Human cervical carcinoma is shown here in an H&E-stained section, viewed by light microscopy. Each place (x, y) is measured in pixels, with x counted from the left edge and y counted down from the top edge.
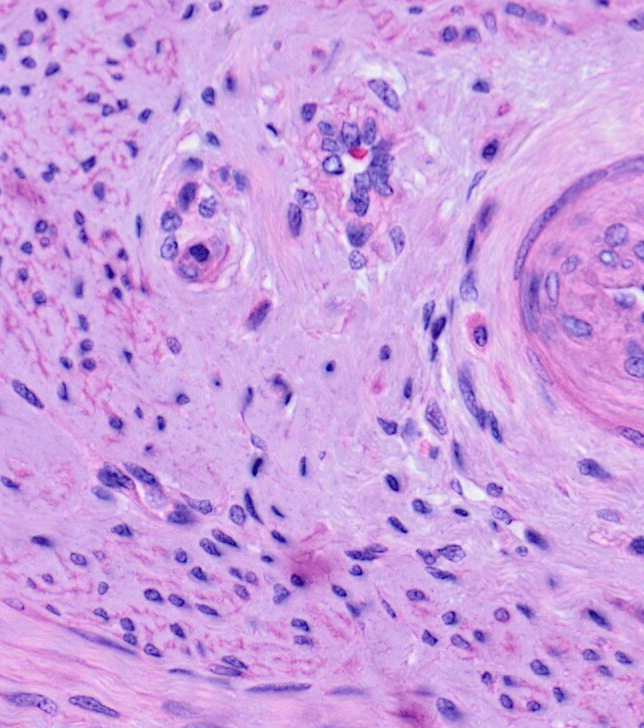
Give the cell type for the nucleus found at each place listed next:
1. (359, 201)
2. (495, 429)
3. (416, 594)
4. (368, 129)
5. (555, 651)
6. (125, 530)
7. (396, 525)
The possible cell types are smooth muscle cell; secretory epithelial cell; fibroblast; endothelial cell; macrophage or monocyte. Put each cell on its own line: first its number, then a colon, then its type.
1: endothelial cell
2: fibroblast
3: smooth muscle cell
4: endothelial cell
5: smooth muscle cell
6: smooth muscle cell
7: fibroblast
